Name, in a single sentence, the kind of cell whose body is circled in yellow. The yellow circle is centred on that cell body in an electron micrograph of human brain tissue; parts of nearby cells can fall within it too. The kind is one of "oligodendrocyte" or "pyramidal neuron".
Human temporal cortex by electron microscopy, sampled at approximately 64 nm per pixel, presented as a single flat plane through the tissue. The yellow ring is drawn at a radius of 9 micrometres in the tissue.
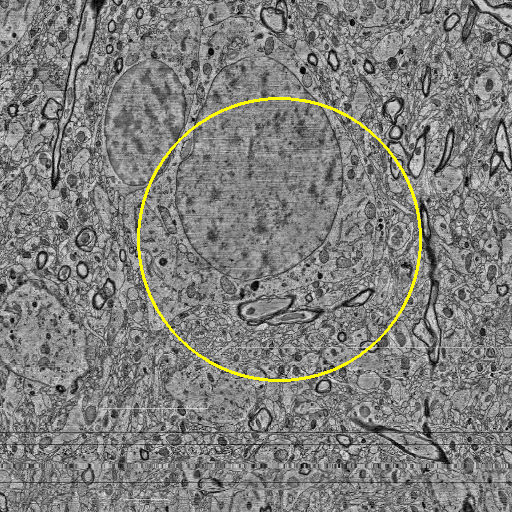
The circled cell body belongs to a pyramidal neuron.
